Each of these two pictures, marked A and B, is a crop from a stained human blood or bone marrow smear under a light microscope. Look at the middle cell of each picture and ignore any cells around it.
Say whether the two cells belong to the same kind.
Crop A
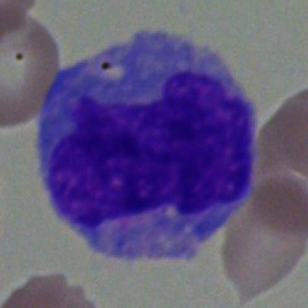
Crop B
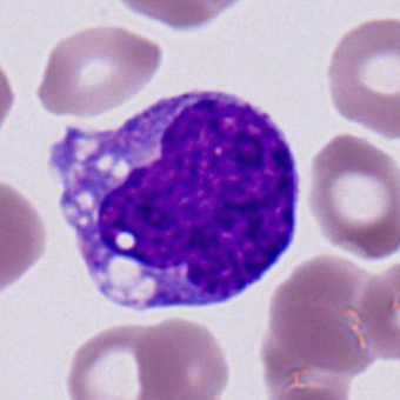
yes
